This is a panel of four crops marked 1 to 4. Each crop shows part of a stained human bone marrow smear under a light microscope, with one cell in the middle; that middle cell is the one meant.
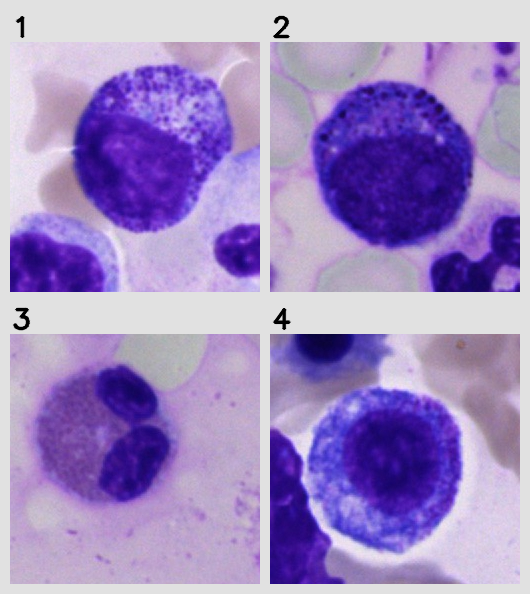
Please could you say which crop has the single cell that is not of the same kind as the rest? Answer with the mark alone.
3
